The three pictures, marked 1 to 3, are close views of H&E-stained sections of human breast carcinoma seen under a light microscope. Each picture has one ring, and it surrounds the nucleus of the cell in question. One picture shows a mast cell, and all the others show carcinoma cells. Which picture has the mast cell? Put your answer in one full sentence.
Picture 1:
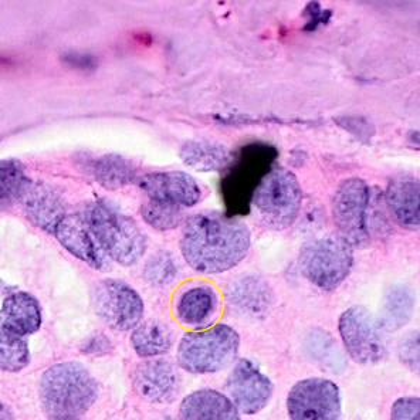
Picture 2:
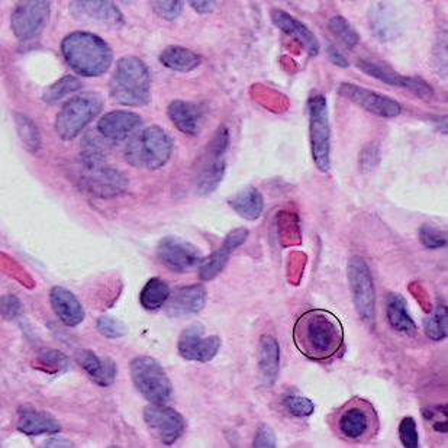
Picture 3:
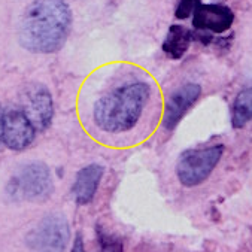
It is picture 2 that shows the mast cell.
